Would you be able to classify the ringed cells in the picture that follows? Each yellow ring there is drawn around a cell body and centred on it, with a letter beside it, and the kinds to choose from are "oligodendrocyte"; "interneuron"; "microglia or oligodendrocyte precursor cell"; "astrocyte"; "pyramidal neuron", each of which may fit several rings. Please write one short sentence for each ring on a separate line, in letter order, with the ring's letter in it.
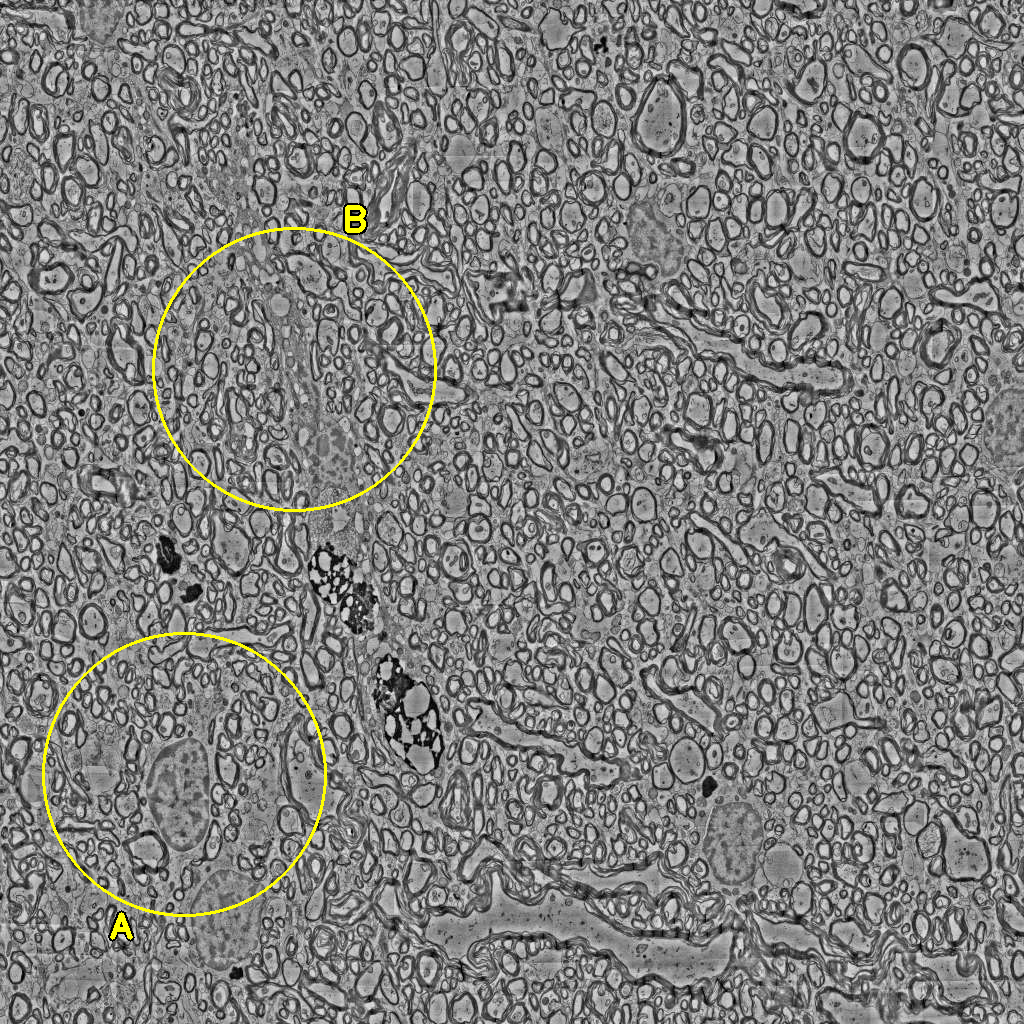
The cell body at the centre of ring A belongs to a microglial cell or oligodendrocyte precursor cell.
The cell body at the centre of ring B belongs to an astrocyte.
